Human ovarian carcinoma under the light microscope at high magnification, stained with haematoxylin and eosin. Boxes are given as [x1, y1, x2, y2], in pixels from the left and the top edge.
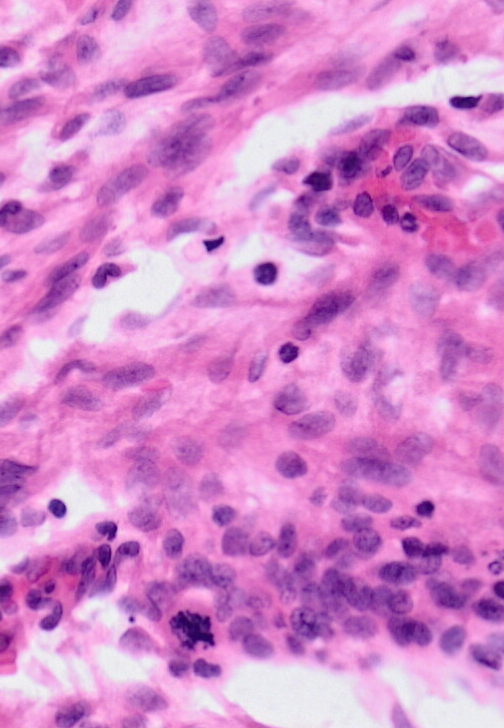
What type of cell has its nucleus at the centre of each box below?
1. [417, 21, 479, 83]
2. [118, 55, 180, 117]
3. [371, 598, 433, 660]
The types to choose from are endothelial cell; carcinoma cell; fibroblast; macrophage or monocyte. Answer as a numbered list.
1. fibroblast
2. fibroblast
3. carcinoma cell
